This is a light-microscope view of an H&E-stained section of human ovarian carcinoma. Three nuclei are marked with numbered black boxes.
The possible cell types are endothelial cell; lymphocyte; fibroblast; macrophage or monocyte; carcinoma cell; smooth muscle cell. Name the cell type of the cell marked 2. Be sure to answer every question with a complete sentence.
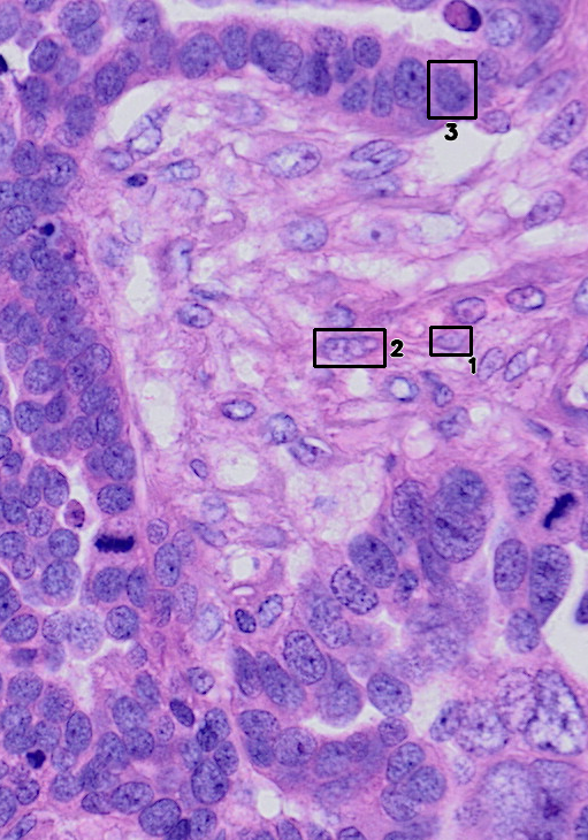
The nucleus labeled 2 belongs to a fibroblast.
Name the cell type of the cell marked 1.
As for number 1, that cell is a fibroblast.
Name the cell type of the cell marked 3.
Within this field of view, the cell labelled 3 is a carcinoma cell.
